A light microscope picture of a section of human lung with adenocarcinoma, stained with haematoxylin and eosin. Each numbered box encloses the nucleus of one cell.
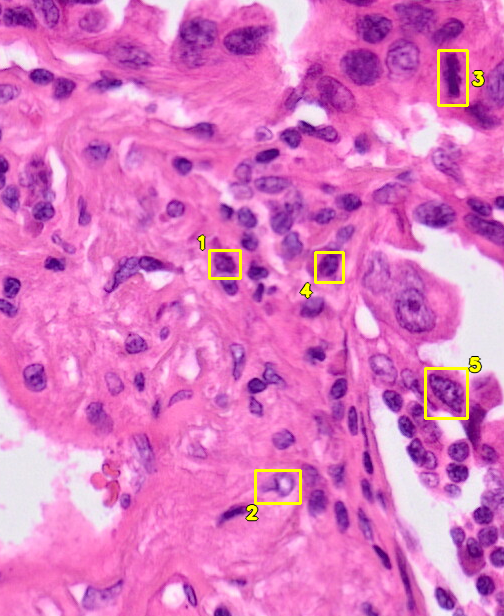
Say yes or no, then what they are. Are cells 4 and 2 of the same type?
No, unlike cell 4, which is a plasma cell, cell 2 is a fibroblast.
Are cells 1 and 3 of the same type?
No, cell 1 is typed as a plasma cell, and cell 3 is typed as a carcinoma cell.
